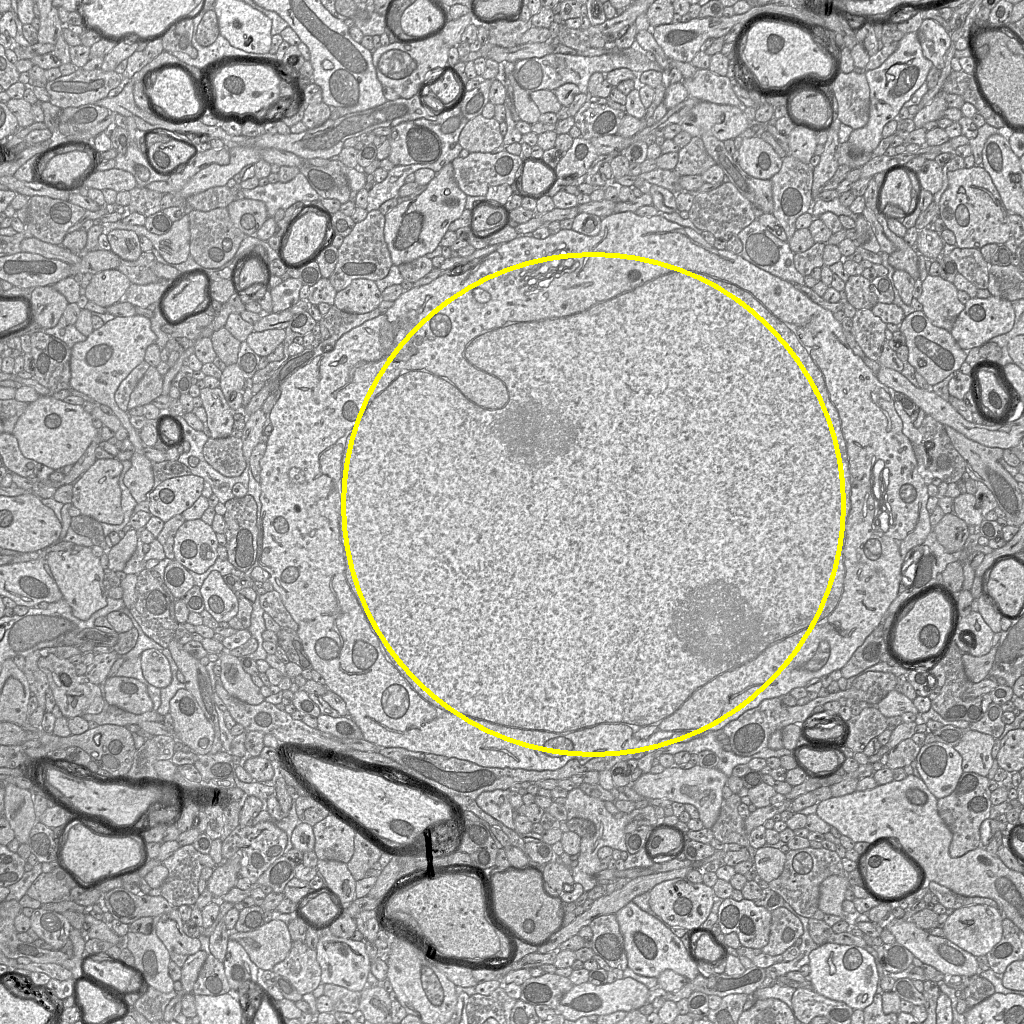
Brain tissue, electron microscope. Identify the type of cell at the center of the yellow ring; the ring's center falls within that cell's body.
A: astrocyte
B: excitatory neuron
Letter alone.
B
